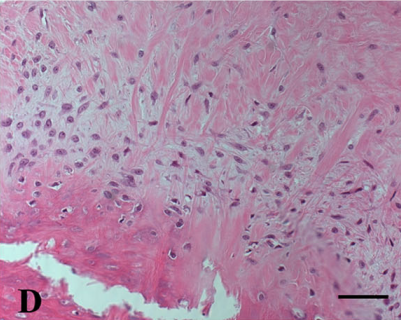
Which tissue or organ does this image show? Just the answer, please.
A: Fibrocartilage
